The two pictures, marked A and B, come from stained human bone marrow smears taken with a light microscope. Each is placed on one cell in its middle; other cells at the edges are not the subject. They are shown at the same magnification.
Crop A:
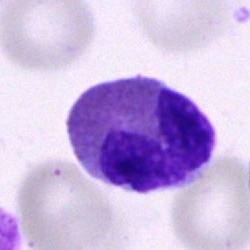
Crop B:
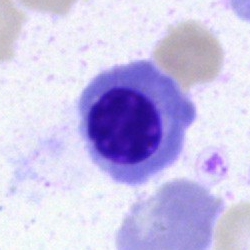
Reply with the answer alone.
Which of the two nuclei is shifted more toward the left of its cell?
B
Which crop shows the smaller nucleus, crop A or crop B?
B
